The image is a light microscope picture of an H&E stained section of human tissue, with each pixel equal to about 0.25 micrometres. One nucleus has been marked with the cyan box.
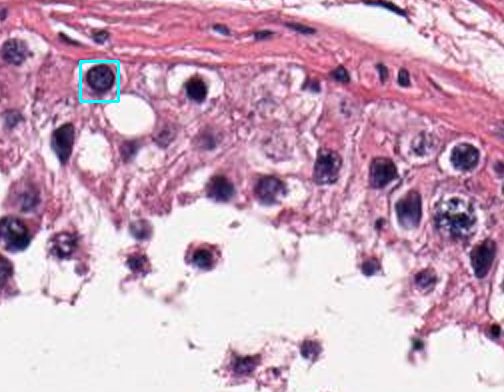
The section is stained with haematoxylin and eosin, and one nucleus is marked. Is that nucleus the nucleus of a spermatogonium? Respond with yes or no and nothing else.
yes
